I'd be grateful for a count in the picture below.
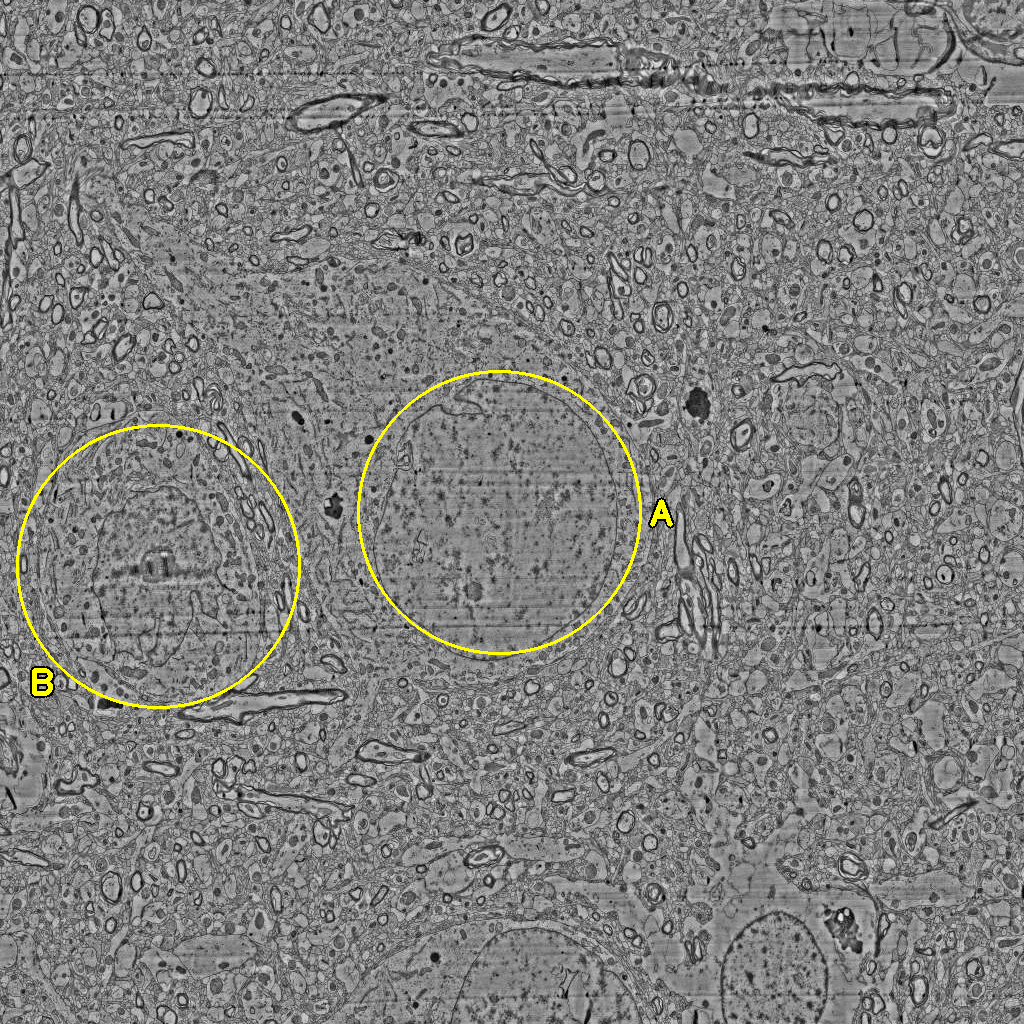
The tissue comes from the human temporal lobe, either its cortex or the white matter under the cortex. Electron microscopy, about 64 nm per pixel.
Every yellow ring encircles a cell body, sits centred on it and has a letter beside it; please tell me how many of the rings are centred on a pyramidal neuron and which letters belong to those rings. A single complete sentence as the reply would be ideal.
Just one yellow ring in the micrograph centres on a pyramidal neuron, and it is labelled A.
